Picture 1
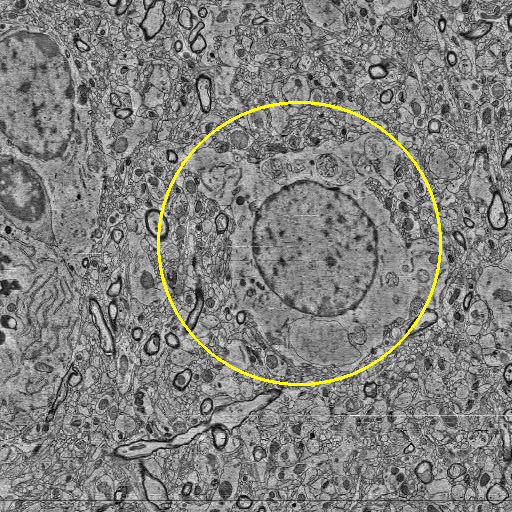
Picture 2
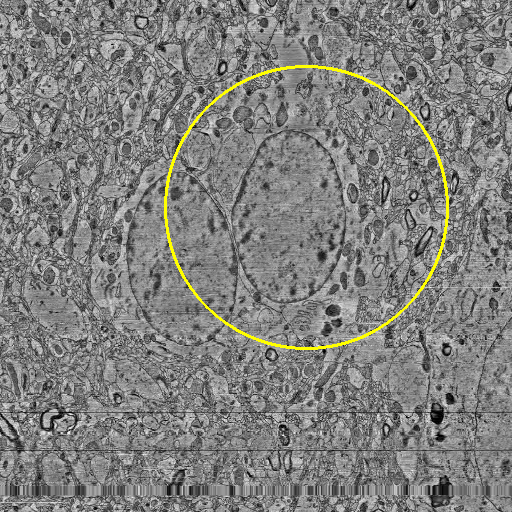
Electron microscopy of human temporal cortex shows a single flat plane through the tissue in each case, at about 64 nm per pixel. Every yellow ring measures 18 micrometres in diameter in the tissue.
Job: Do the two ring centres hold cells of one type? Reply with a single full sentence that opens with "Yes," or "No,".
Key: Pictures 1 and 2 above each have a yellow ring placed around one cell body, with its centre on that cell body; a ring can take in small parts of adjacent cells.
Yes, the cells at the two ring centres are of one single type.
